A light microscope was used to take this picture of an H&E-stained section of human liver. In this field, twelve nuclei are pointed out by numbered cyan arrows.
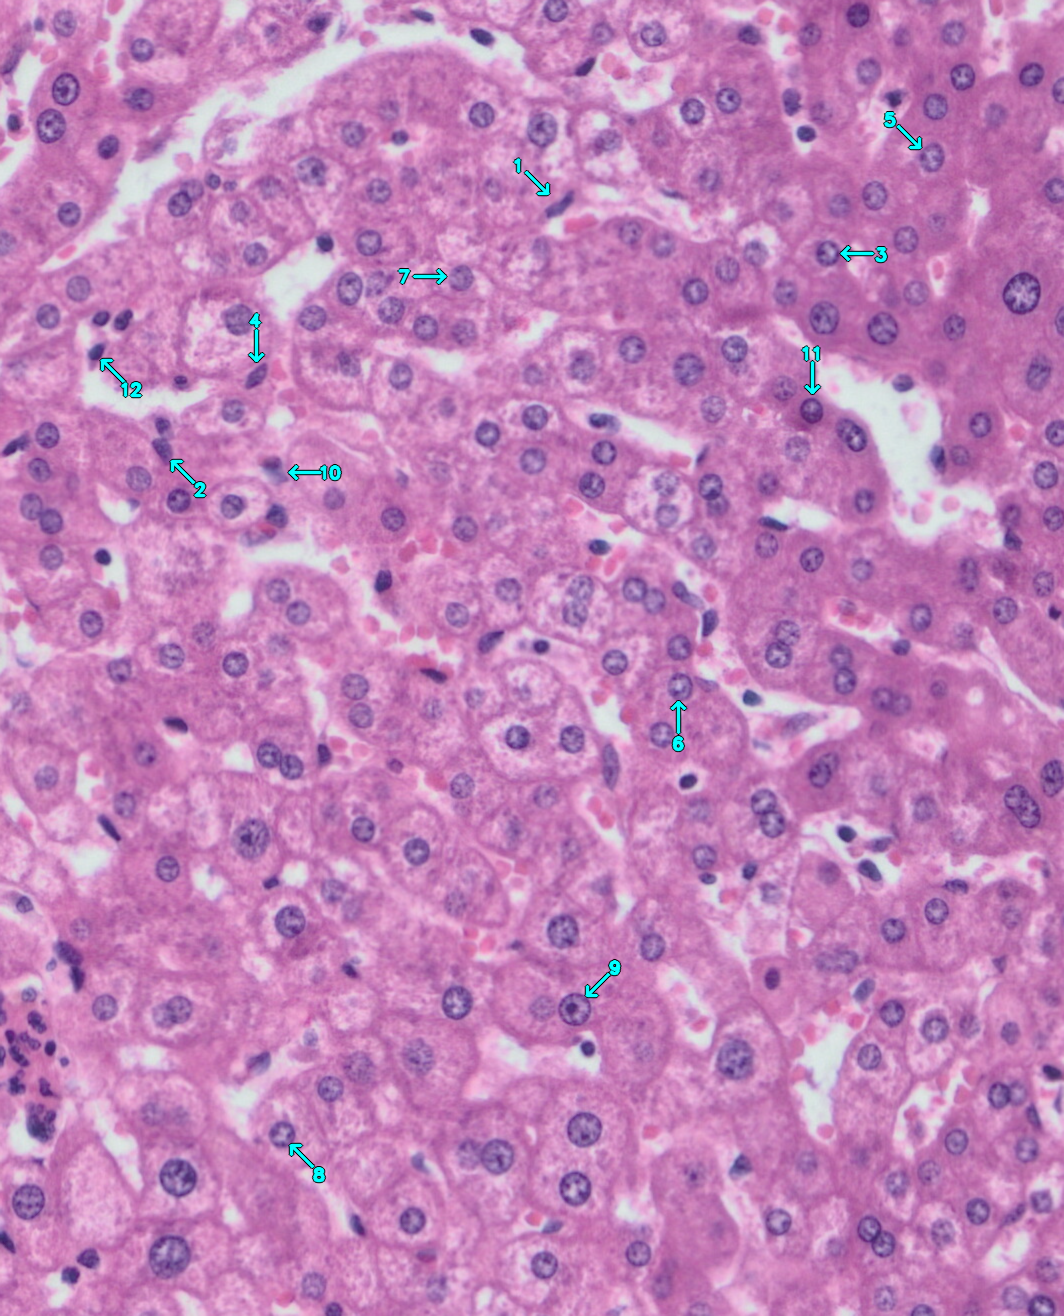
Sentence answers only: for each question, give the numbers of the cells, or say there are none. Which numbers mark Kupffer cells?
Exactly one numbered cell is a Kupffer cell, and that cell is number 1.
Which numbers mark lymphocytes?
Among the marked cells, a lymphocyte is found only at number 12.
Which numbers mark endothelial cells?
The sole numbered cell that is an endothelial cell is cell 10.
